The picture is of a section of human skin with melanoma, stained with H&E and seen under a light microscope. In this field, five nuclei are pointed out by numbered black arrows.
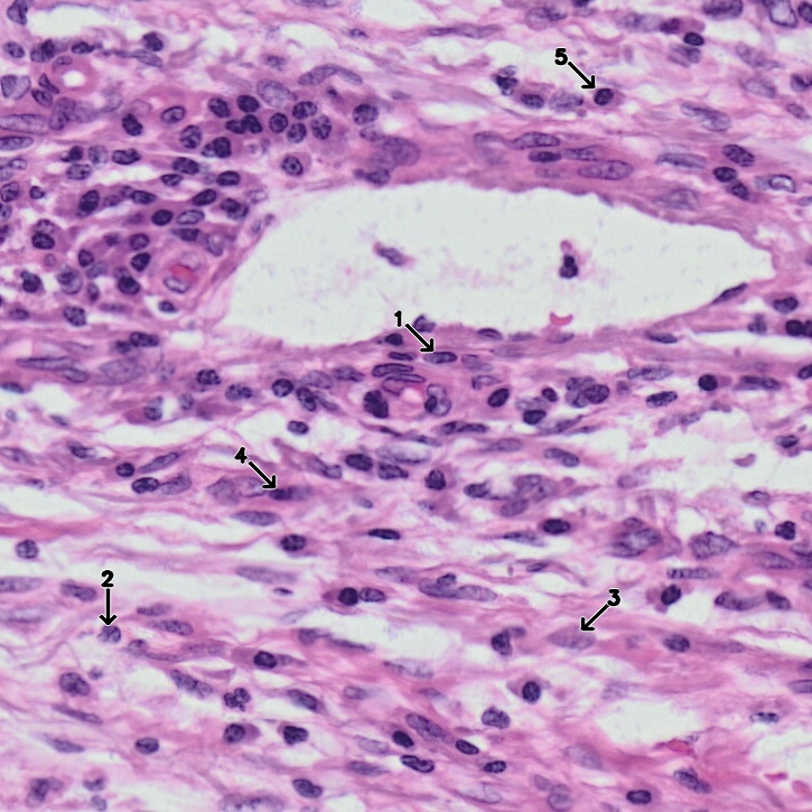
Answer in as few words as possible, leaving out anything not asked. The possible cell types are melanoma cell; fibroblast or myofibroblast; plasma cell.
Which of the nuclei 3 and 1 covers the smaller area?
1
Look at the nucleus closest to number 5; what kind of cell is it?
fibroblast or myofibroblast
